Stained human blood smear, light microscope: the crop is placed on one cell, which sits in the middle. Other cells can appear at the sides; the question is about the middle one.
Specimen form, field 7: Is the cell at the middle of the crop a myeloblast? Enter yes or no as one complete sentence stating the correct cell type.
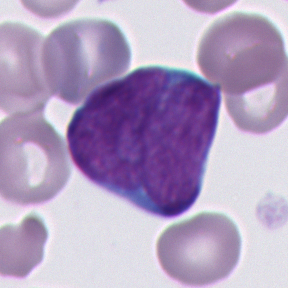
Yes, that middle cell in the crop is a myeloblast.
